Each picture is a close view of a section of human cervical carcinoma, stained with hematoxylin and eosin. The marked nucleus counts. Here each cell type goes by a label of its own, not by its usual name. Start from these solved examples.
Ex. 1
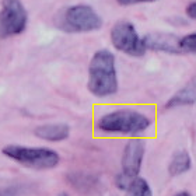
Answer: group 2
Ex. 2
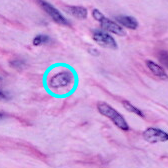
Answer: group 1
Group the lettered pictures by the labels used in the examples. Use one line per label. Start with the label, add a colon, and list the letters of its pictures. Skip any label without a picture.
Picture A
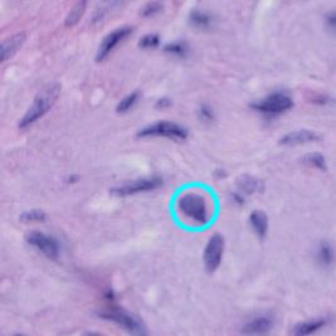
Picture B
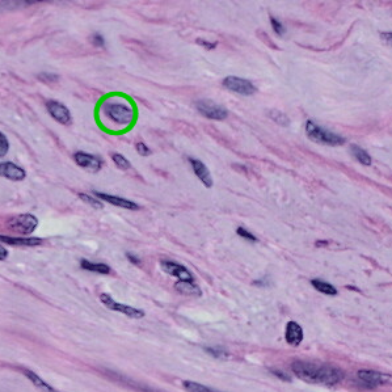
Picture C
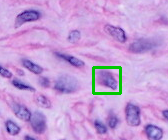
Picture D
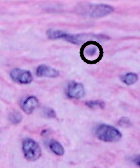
group 2: A
group 1: B, C, D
